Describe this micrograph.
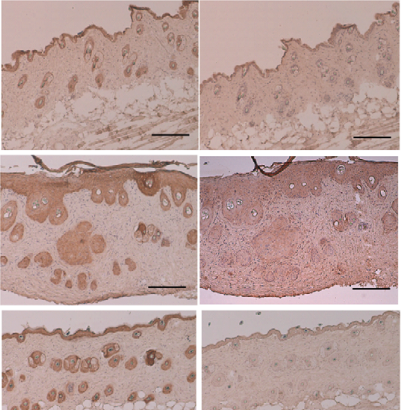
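Sections of skin showing epidermis and dermis, arranged as three rows of paired images. In the left column, brown stain marks the keratinocytes of the surface epidermis and the rings of epithelium around hair follicles scattered in the dermis. In the middle row, the epidermis is much thicker, with a broad brown-stained layer at the surface and large, irregular brown epithelial masses extending into the dermis. In the right column, the matching sections are mostly pale, apart from the middle row, where the thickened tissue shows diffuse brownish staining among densely packed cells. The top and bottom rows show a thin surface layer over looser dermis with pale fat-like spaces beneath.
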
